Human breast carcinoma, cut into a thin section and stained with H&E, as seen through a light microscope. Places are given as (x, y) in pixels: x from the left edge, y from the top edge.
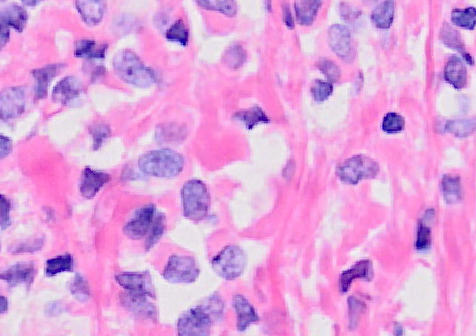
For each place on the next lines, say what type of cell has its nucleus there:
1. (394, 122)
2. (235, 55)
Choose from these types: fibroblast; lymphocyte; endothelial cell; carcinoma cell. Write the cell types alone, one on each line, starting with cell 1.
lymphocyte
carcinoma cell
